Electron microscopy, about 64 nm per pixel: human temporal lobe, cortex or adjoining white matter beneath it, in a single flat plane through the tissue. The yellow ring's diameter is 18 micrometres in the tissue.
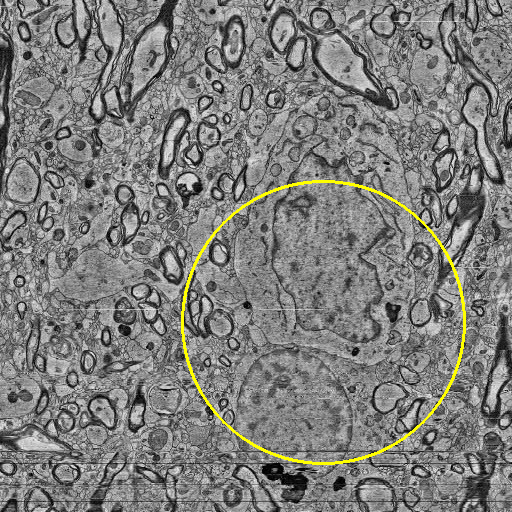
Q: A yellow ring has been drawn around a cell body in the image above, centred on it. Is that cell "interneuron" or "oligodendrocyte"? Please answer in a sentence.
The ring surrounds the cell body of an interneuron.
